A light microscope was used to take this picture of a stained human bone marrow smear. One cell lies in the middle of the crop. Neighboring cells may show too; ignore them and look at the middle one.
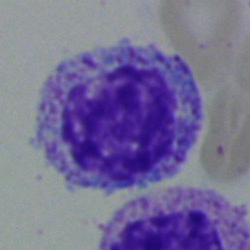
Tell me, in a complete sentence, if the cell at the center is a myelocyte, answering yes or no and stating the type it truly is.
Yes, the cell that the crop is centred on is a myelocyte.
